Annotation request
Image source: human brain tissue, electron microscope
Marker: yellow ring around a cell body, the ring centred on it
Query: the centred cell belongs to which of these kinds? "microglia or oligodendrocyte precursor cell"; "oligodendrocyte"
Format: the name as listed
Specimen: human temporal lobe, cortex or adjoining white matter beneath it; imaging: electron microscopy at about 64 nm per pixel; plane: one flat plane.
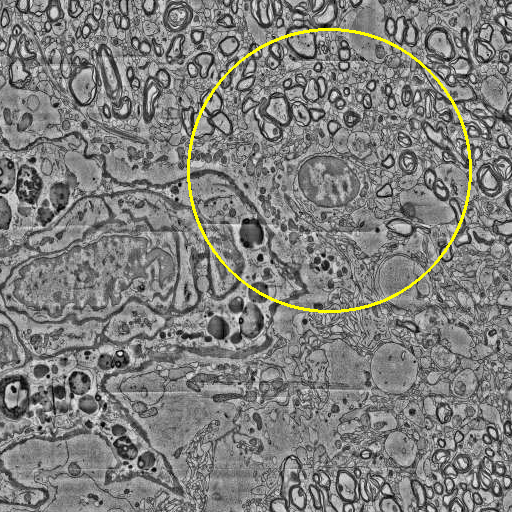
microglia or oligodendrocyte precursor cell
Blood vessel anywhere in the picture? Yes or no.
Yes.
